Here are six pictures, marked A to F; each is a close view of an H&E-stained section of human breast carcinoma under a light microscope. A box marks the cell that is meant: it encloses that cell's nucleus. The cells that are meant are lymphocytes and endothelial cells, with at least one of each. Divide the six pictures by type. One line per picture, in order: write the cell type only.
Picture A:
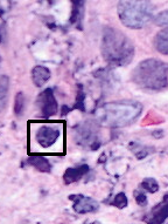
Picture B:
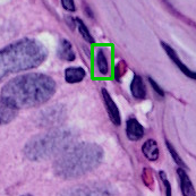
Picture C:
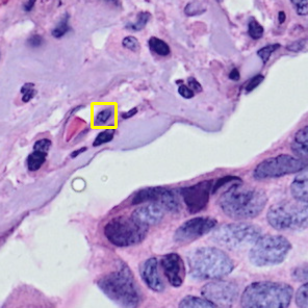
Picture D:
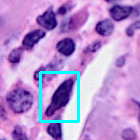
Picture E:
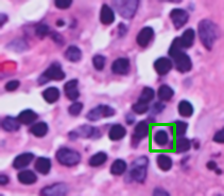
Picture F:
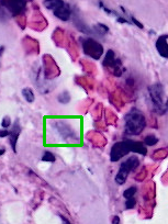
lymphocyte
endothelial cell
endothelial cell
lymphocyte
lymphocyte
endothelial cell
